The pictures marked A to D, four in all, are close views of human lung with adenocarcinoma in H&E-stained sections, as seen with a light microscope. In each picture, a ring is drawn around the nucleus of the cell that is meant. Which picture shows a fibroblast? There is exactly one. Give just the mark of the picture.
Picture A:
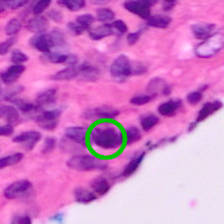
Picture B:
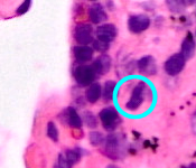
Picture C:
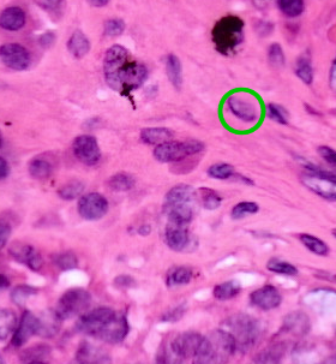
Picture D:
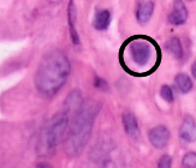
C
